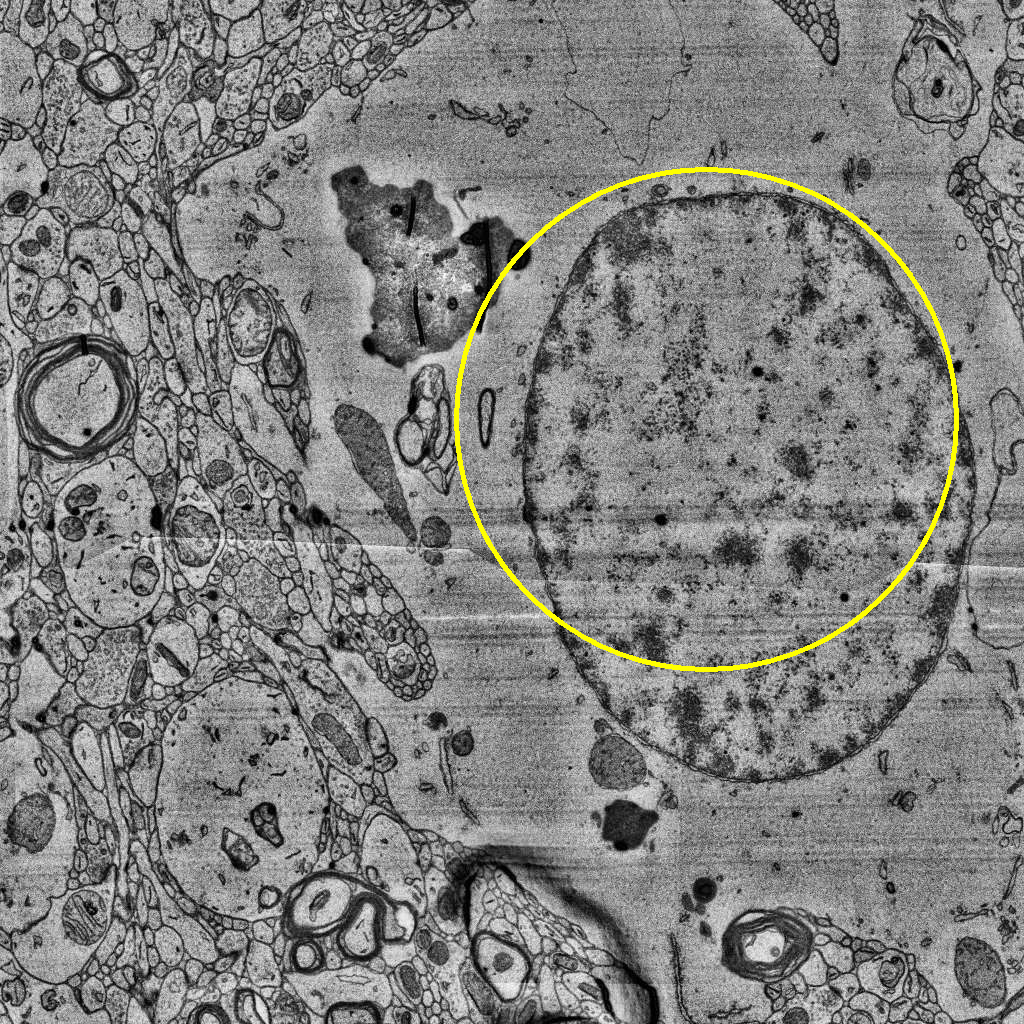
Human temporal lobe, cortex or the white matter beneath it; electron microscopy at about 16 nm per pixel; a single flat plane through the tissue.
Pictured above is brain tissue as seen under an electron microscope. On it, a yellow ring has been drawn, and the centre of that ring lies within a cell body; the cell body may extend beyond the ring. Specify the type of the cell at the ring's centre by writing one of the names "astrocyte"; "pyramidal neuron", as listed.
astrocyte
